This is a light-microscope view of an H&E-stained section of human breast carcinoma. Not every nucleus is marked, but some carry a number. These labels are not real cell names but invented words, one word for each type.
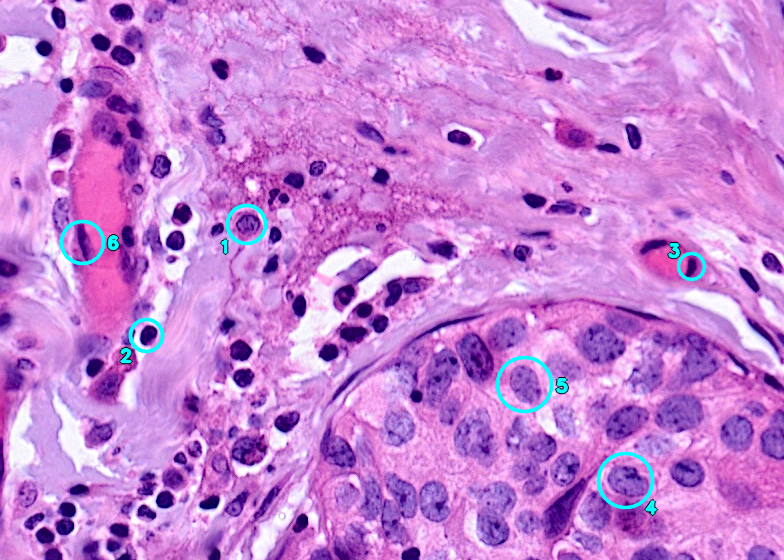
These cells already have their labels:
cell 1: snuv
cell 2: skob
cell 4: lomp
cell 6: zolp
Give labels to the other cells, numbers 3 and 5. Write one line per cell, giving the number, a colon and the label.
3: zolp
5: lomp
